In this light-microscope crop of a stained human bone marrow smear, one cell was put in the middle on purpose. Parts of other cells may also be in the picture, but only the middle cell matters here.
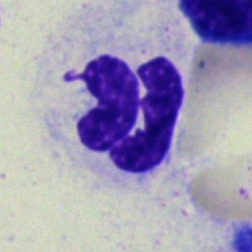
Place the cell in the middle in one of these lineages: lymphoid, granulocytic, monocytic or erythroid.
granulocytic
